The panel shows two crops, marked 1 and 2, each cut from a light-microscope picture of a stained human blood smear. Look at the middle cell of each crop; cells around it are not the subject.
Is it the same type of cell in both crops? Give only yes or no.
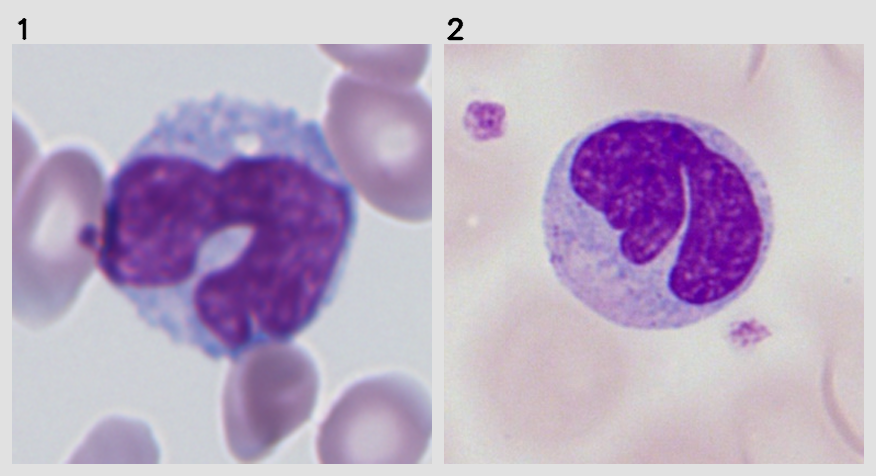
yes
